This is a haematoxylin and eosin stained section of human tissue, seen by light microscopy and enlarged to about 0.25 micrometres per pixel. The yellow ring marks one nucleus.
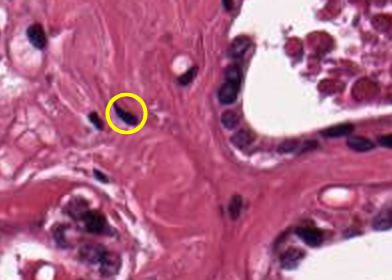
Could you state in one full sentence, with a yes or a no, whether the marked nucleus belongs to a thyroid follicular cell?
No, the marked nucleus is carried by a supporting cell rather than by a thyroid follicular cell.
